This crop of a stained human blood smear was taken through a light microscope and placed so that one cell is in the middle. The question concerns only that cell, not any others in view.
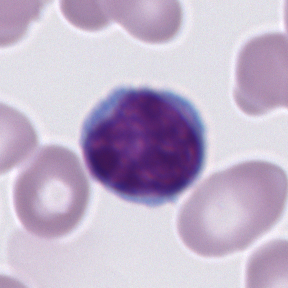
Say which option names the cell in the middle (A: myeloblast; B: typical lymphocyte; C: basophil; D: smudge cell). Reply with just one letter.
B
